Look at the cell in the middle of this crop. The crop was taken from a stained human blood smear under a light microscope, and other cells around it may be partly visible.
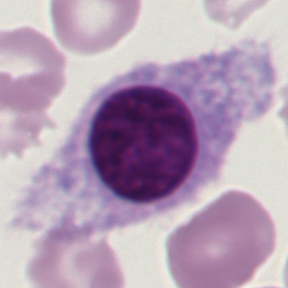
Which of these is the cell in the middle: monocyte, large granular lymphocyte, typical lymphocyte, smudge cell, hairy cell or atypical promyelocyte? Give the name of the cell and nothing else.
hairy cell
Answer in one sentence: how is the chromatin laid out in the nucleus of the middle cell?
The chromatin of this one is coarsely clumped.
